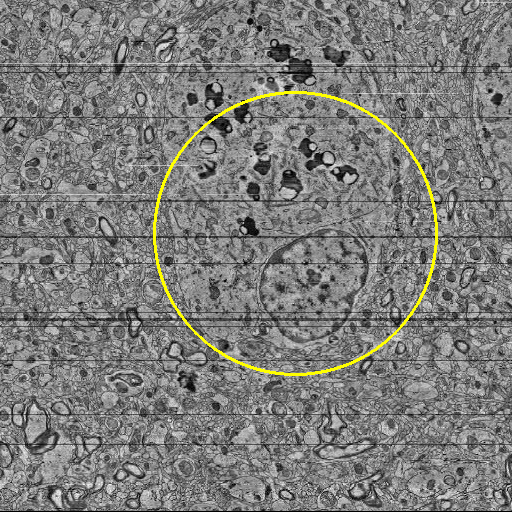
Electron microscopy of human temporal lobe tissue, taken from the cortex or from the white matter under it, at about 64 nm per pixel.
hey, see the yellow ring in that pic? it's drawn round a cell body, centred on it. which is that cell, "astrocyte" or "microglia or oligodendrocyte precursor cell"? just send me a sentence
The cell in the ring is a microglial cell or oligodendrocyte precursor cell.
